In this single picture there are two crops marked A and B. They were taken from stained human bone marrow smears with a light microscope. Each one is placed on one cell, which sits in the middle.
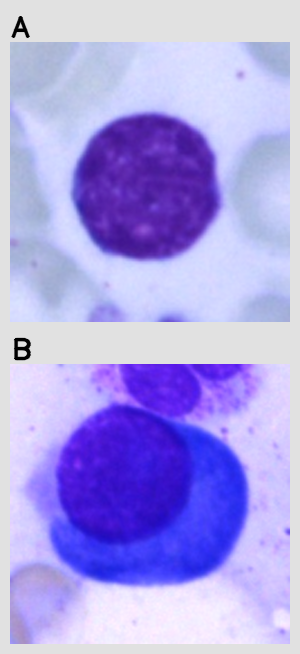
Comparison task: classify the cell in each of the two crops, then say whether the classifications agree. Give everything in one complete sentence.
No, crop A shows a lymphocyte, and the cell in crop B is a plasma cell.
